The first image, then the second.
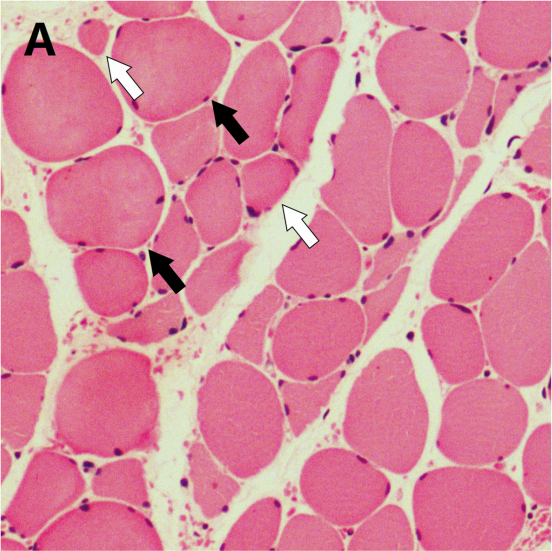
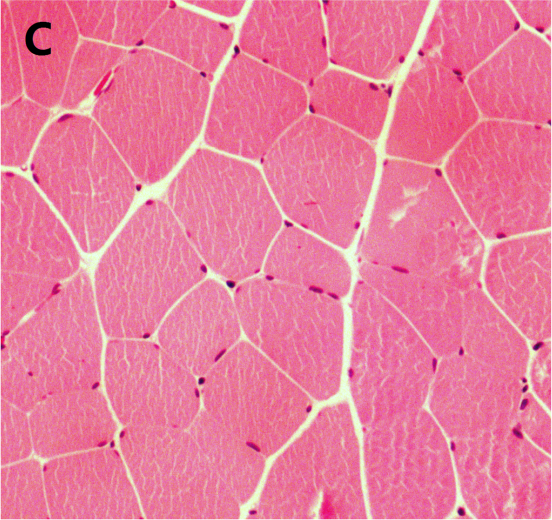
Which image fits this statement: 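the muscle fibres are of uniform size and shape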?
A: the second image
